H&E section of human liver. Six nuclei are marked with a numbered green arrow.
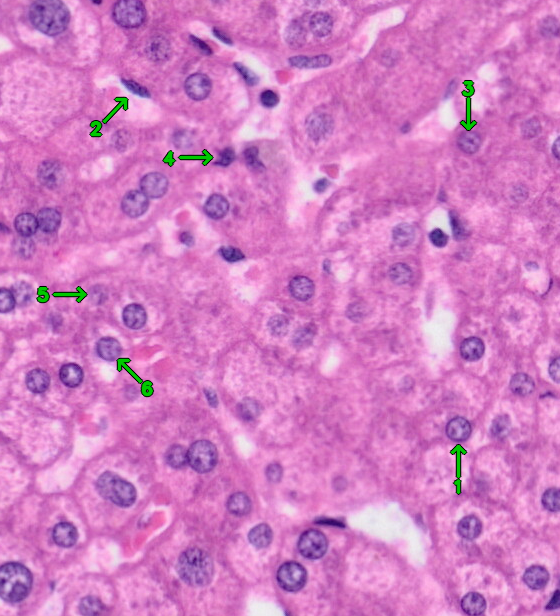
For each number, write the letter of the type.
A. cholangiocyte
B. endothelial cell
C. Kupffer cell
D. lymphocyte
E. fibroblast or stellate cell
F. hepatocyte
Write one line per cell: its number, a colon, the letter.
1: F
2: B
3: F
4: E
5: F
6: F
